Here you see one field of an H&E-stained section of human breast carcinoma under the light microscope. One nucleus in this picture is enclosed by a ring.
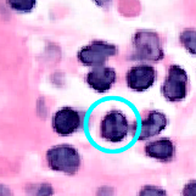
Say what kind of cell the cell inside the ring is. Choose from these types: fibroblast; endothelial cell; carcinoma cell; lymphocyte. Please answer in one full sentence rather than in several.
Right, so the cell inside the ring is a lymphocyte, to answer that.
